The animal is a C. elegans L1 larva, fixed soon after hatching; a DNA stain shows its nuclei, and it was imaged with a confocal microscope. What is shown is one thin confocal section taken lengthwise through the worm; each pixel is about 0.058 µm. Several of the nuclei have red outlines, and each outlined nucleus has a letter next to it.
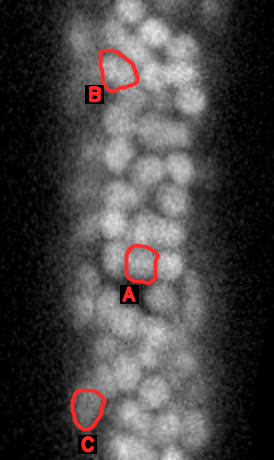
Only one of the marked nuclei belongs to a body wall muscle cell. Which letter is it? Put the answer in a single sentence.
The one from a body wall muscle cell is C.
